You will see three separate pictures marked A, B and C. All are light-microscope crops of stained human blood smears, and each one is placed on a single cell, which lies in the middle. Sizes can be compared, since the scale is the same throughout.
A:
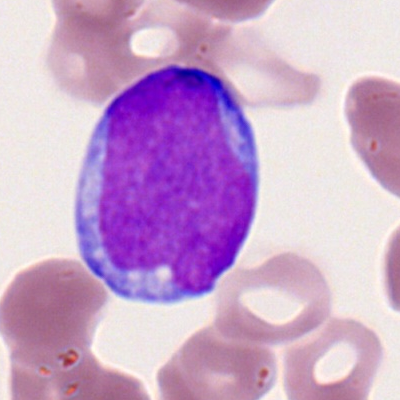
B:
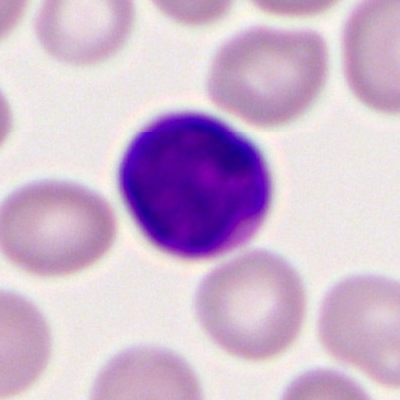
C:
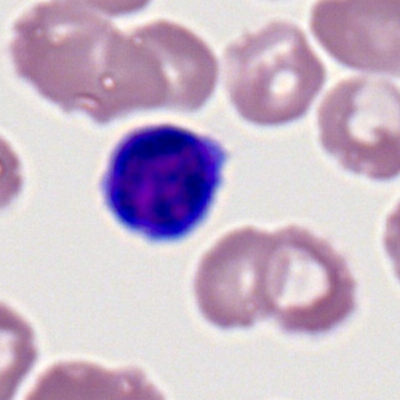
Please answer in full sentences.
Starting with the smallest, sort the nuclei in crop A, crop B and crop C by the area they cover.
The order is C, B, A, beginning with the smallest.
